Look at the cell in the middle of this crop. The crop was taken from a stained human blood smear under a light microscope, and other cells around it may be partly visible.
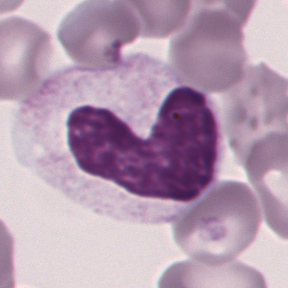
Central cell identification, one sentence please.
The crop shows a band neutrophil in its centre.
